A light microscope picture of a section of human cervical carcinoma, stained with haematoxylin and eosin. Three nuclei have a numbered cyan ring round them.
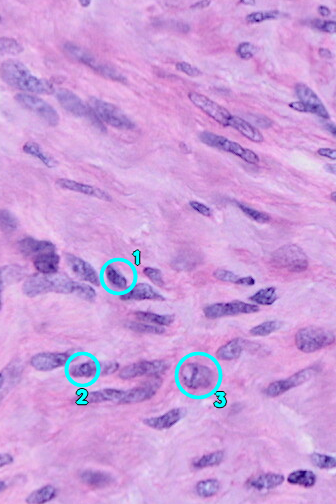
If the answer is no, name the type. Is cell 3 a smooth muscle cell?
Yes.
